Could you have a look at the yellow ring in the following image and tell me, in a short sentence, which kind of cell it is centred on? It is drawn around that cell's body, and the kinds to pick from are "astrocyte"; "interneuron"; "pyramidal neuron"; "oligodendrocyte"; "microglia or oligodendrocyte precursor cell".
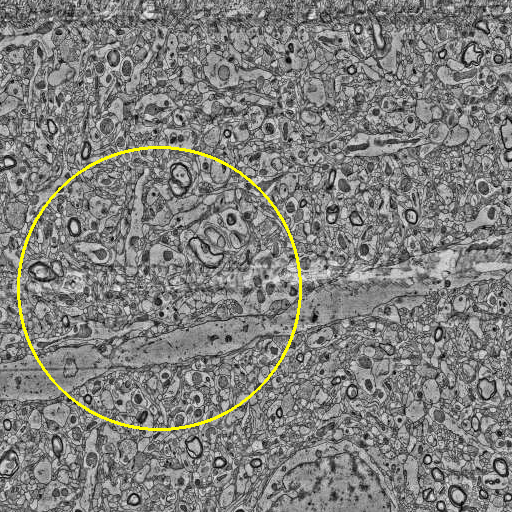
The ring is centred on the body of a microglial cell or oligodendrocyte precursor cell.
